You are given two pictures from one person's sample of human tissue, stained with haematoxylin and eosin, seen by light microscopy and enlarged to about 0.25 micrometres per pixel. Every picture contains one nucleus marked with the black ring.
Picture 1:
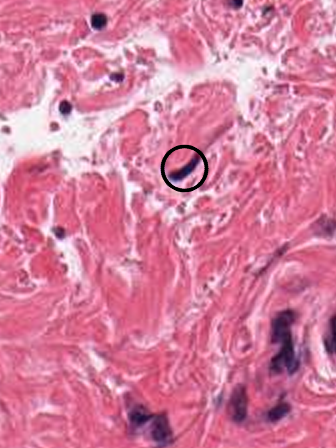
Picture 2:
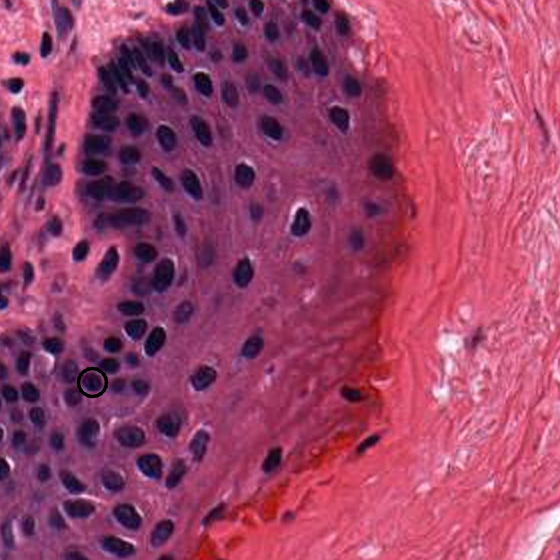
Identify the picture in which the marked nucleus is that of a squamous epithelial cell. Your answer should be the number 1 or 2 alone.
2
